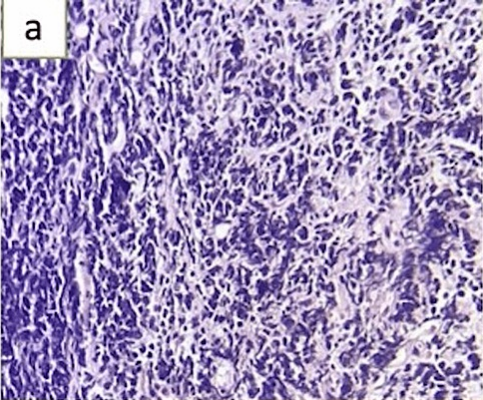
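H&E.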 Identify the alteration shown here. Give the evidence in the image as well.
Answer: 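Sheets of densely packed small cells fill the field. The nuclei are dark and similar in size and shape. Very little cytoplasm is visible around the nuclei.
Conclusion: diffuse proliferation of small, discohesive, monomorphic cells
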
